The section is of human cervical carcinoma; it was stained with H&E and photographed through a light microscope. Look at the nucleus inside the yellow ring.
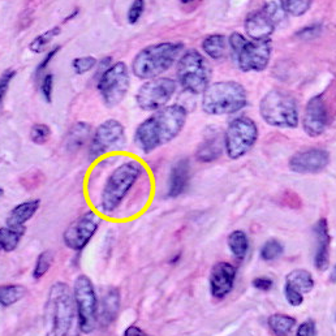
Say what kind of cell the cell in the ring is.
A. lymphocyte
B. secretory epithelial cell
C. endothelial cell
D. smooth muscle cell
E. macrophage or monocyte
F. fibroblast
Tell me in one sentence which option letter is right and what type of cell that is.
Option C stands as correct, with the cell in the ring being an endothelial cell.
